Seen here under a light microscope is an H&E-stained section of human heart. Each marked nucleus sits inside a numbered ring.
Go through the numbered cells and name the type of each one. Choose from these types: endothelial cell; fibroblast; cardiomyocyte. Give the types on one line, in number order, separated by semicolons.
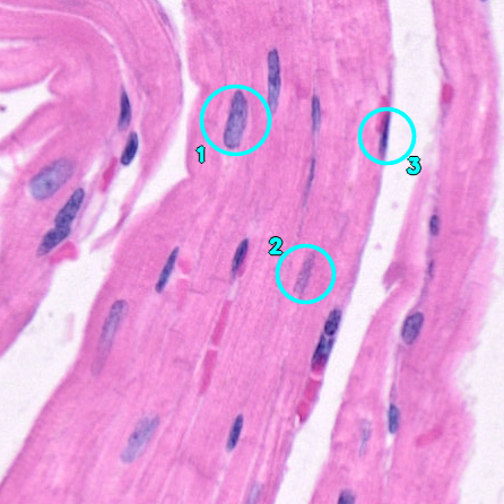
cardiomyocyte; cardiomyocyte; endothelial cell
